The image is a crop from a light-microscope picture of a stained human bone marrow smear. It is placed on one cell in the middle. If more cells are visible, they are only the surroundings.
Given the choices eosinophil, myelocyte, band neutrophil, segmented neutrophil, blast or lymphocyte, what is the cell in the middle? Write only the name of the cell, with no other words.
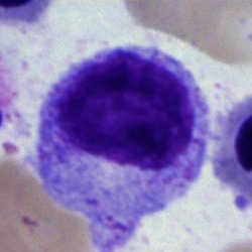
myelocyte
